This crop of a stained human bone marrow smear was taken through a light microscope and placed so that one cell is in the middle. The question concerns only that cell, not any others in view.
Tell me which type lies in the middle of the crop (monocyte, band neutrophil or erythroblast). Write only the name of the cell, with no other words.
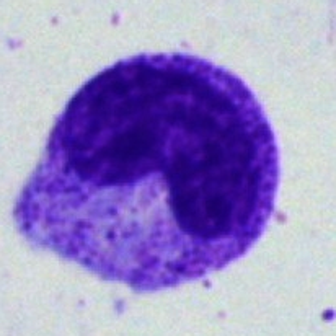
band neutrophil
